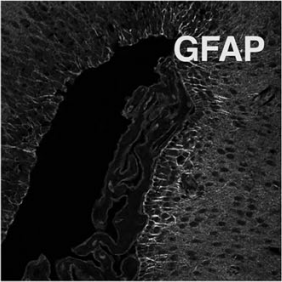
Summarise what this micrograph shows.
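Deeper in the parenchyma the densely packed cell bodies are only faintly outlined. Inside the dark ventricular space lies a folded, weakly labelled membranous structure, most likely choroid plexus.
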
